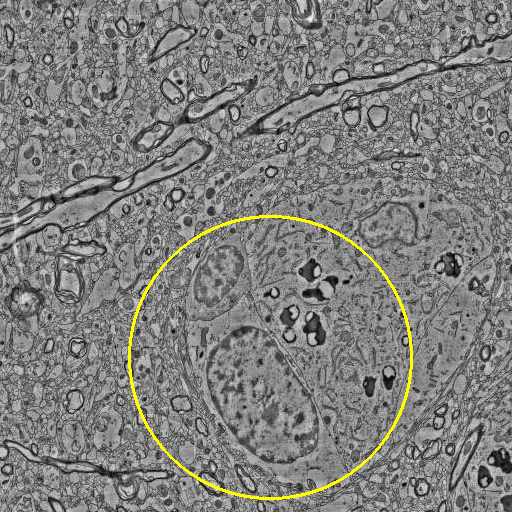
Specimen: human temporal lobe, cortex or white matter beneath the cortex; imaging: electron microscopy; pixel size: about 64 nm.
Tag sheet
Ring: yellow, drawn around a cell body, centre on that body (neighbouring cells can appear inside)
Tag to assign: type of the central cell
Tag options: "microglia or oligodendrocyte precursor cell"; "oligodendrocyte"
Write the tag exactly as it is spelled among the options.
microglia or oligodendrocyte precursor cell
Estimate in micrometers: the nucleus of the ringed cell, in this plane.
About 9 by 6 micrometres; in this plane the nucleus is clearly longer than it is wide.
